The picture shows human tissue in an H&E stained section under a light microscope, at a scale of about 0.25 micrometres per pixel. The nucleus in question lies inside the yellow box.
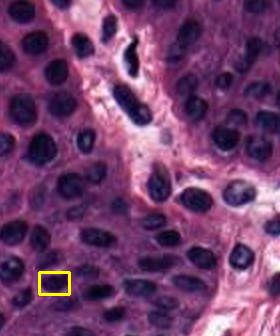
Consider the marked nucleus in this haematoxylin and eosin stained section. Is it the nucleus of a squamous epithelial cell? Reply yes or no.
yes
